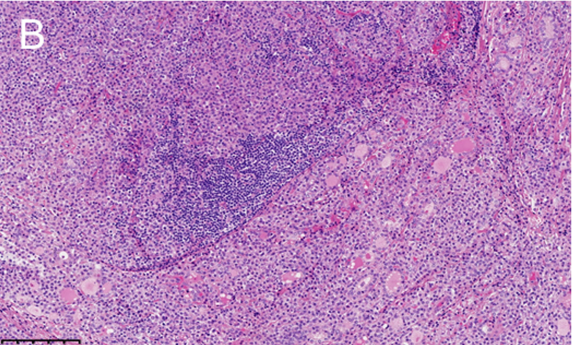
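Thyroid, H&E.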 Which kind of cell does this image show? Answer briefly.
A: small- to medium-sized lymphoid cells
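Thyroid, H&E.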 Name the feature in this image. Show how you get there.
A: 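Scattered small round spaces filled with pale pink homogeneous material lie among the infiltrate. These pink-filled spaces are small and sparse within the cell sheets. The answer: residual follicles.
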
